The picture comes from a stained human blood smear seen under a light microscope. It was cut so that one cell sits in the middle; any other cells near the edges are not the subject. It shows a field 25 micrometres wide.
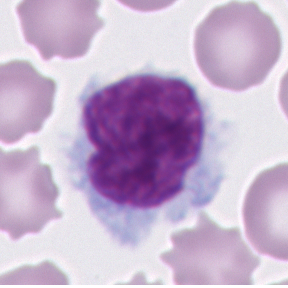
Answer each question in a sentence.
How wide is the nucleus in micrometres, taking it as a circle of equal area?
About 11 micrometres: that is the diameter of the nucleus.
